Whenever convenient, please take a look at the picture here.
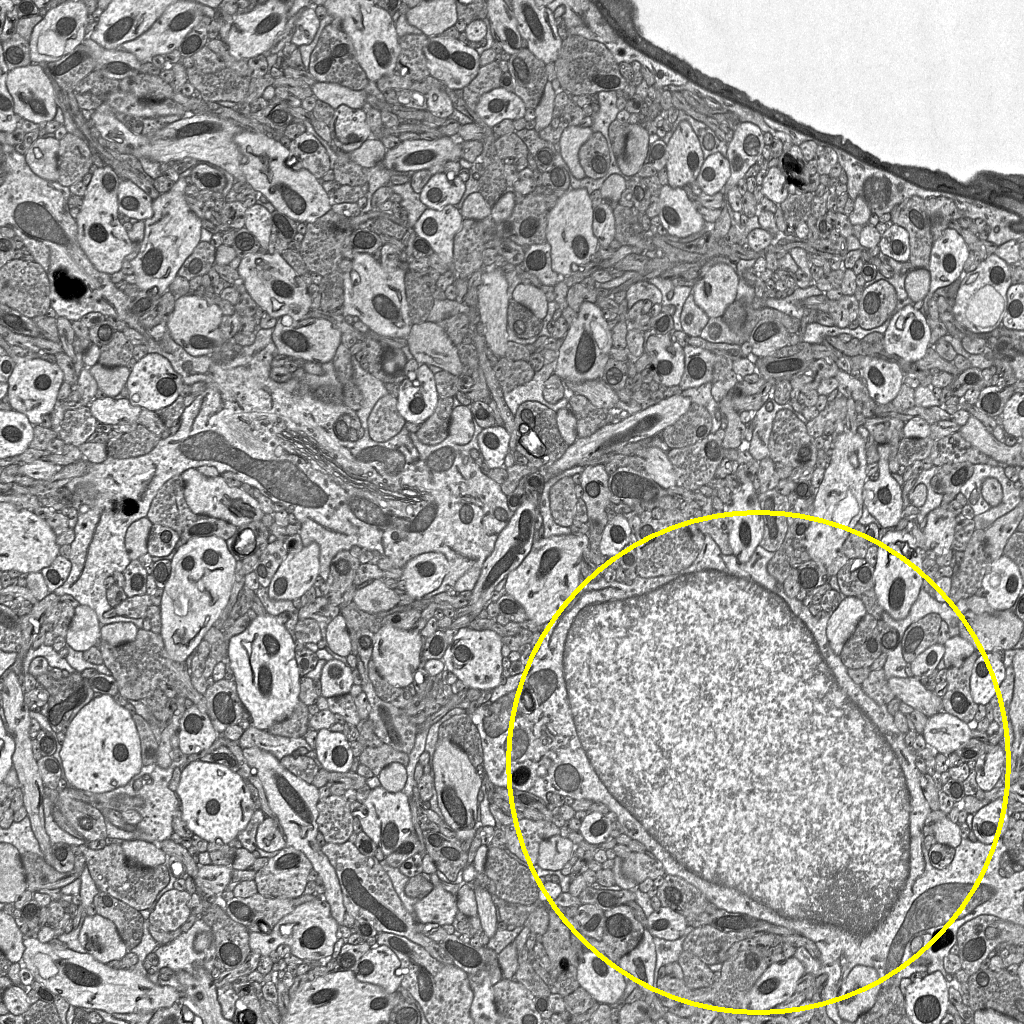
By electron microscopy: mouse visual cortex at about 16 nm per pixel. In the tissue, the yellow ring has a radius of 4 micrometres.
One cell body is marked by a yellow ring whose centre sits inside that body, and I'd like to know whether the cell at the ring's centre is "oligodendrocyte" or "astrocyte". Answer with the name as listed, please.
astrocyte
